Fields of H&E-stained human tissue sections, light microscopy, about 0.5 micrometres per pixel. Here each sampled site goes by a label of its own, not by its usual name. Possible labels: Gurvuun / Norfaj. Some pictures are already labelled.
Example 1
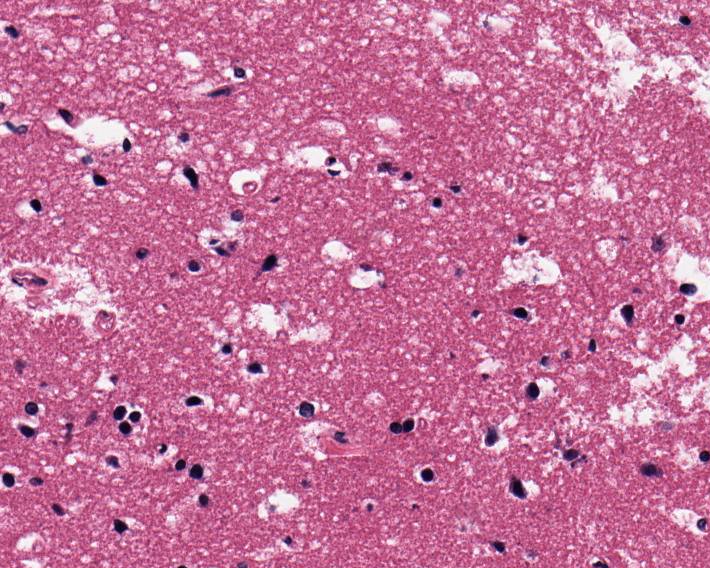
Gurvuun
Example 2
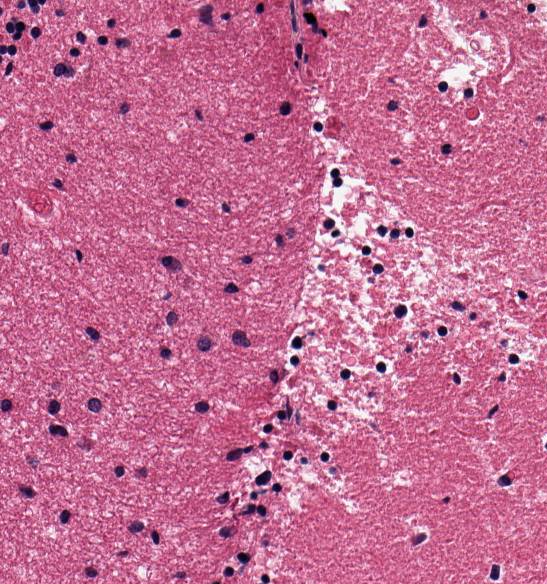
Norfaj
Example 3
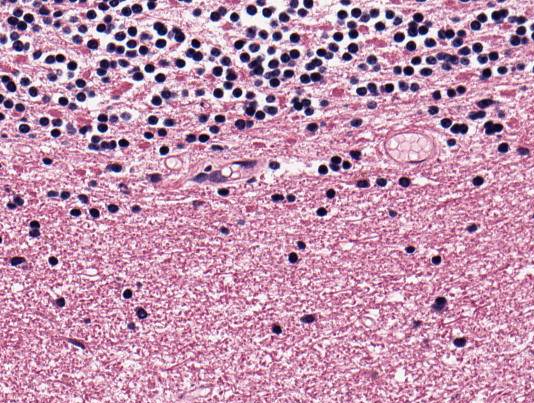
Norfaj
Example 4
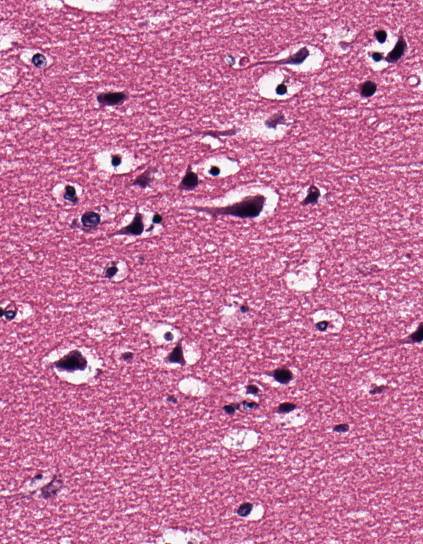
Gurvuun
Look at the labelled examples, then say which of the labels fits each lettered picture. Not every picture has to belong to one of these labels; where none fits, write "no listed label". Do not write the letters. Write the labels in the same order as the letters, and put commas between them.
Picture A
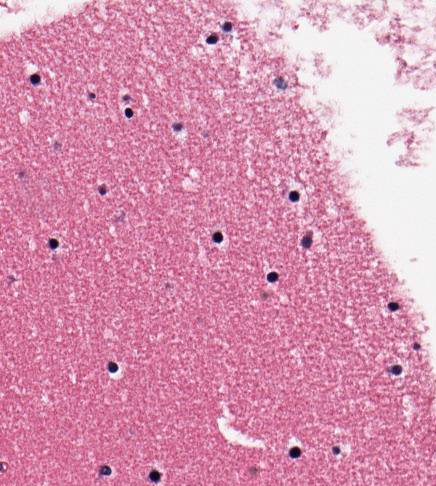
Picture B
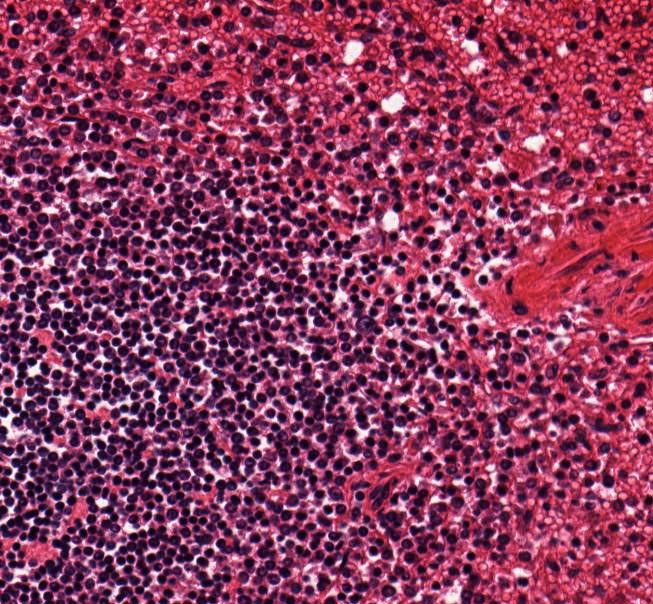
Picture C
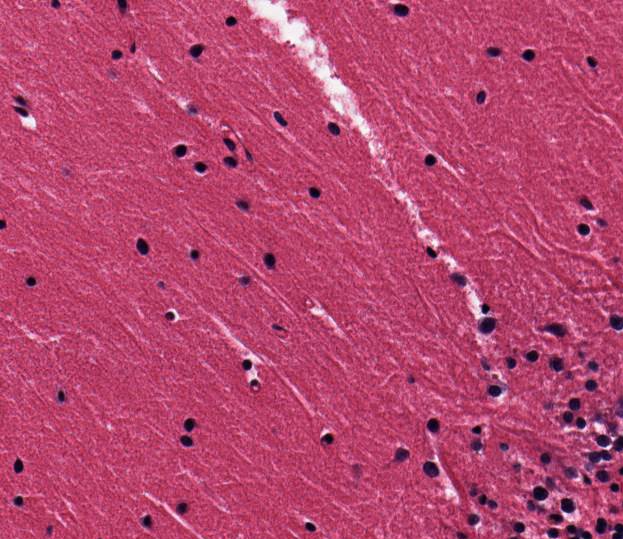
Norfaj, no listed label, Norfaj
